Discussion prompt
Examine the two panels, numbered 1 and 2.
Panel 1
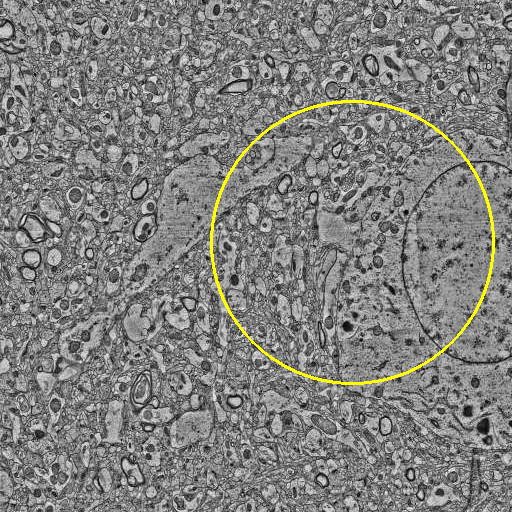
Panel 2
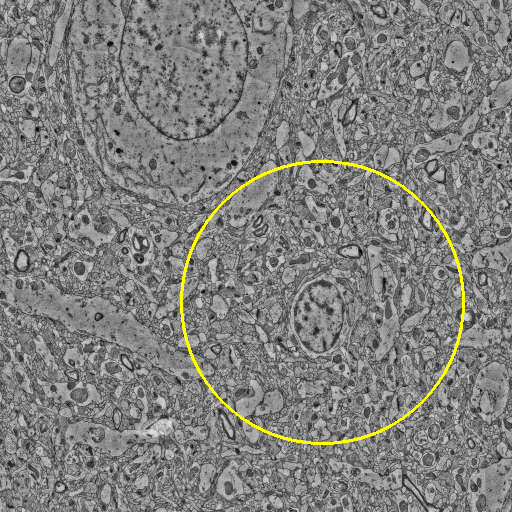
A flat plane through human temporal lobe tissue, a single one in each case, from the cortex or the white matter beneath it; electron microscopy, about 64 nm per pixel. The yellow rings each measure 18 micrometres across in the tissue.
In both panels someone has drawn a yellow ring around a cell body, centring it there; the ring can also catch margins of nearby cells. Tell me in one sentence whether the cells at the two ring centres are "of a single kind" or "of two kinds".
Taken together, the two cells centred in the rings of Panels 1 and 2 are of a single kind.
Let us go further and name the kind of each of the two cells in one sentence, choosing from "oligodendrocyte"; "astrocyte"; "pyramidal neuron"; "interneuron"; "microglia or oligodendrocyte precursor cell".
The ring centre holds a microglial cell or oligodendrocyte precursor cell in each of the two pictures.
